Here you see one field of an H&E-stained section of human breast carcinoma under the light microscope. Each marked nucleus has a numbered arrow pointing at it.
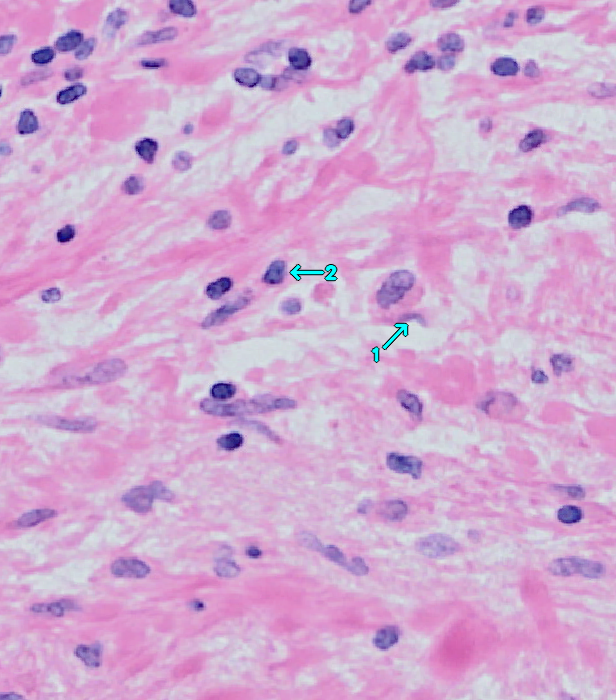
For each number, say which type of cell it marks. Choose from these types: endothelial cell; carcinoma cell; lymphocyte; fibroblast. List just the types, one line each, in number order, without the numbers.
fibroblast
lymphocyte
